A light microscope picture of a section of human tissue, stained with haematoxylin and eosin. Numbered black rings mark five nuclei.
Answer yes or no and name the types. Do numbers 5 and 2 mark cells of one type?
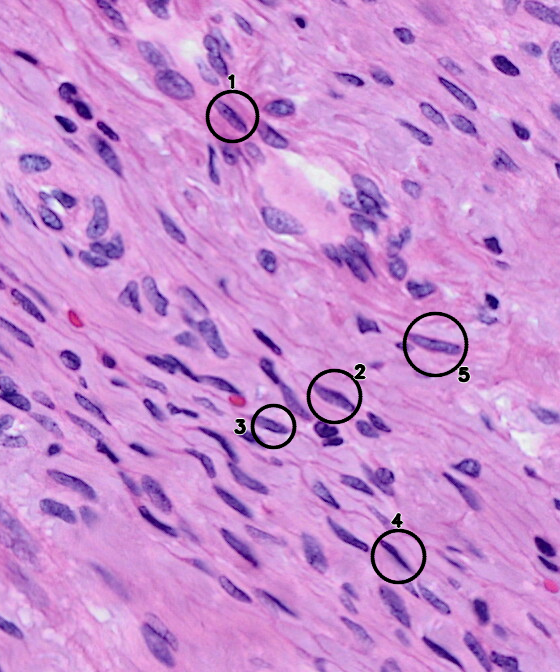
No, not so; cell 5 is a smooth muscle cell and cell 2 is a fibroblast.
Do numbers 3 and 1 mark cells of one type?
No, the identities are a fibroblast for cell 3 and an endothelial cell for cell 1.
